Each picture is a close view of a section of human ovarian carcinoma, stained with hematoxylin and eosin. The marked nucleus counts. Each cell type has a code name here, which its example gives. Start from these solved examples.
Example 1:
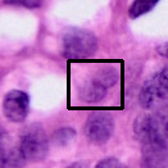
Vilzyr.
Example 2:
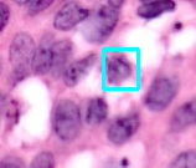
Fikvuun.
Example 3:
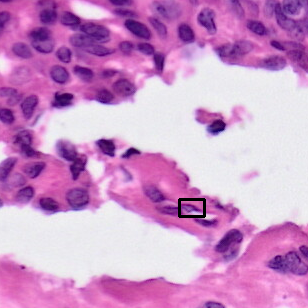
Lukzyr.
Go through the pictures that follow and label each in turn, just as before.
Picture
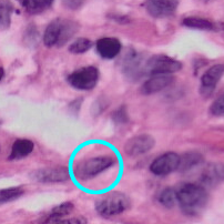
Lukzyr.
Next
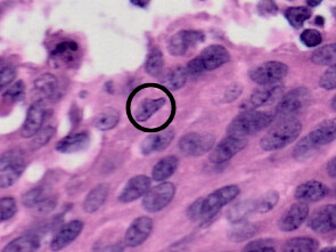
Fikvuun.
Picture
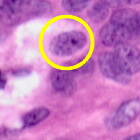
Fikvuun.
